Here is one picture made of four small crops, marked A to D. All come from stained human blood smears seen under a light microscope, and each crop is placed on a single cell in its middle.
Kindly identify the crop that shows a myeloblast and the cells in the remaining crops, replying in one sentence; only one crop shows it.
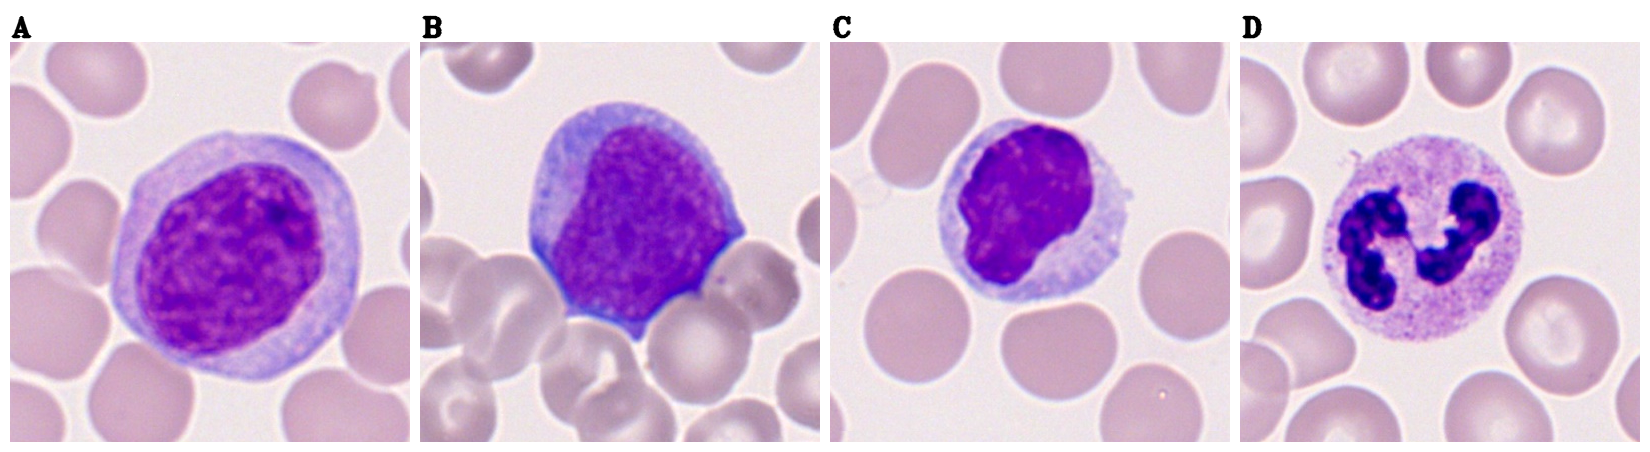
In crop B the cell is a myeloblast, whereas crop A is a monocyte, crop C is a lymphocyte and crop D is a segmented neutrophil.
